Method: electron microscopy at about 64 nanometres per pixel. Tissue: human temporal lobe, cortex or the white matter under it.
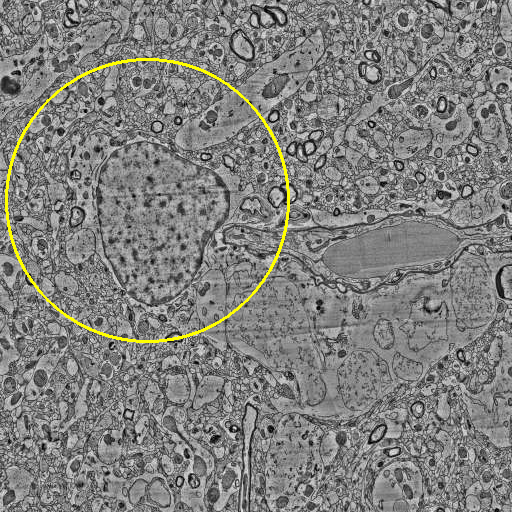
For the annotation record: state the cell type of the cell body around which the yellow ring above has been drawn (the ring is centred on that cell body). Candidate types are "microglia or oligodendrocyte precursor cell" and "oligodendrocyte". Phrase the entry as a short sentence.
The ringed cell is a microglial cell or oligodendrocyte precursor cell.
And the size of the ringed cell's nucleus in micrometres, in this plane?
Approximately 10 by 8 micrometers in this plane.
